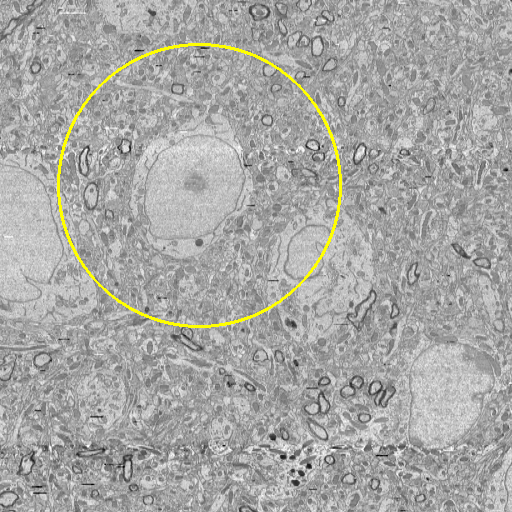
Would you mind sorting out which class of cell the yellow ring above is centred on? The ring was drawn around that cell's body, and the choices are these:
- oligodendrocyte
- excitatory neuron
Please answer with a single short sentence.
This is the cell body of an excitatory neuron.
